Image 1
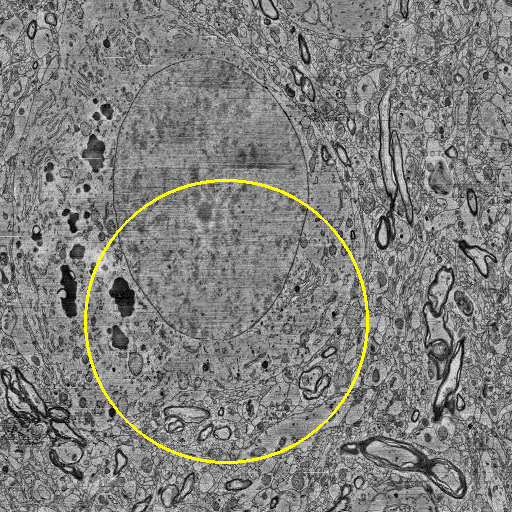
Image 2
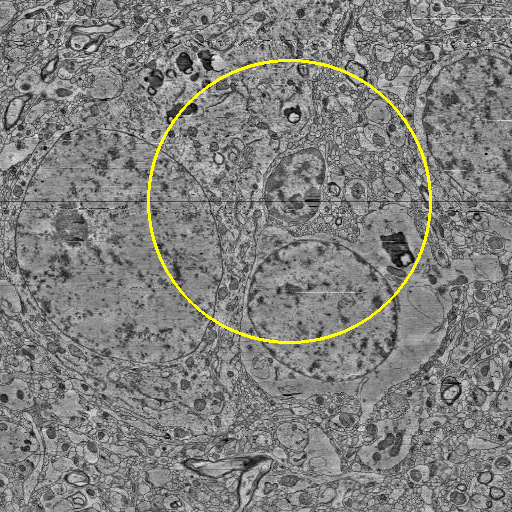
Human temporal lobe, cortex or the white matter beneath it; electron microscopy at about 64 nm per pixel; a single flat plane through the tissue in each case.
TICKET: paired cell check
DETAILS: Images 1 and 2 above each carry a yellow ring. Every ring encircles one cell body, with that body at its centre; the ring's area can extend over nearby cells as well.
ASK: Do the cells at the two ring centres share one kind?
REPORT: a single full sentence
No, the ring-centre cells of Images 1 and 2 belong to two kinds.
